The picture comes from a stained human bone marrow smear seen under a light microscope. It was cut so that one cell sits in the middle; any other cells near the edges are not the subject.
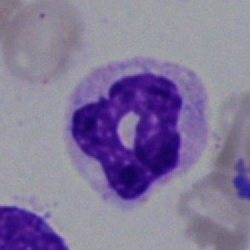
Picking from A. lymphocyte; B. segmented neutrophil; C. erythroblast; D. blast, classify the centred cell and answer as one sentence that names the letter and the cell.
Option B is correct; the cell in the middle is a segmented neutrophil.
